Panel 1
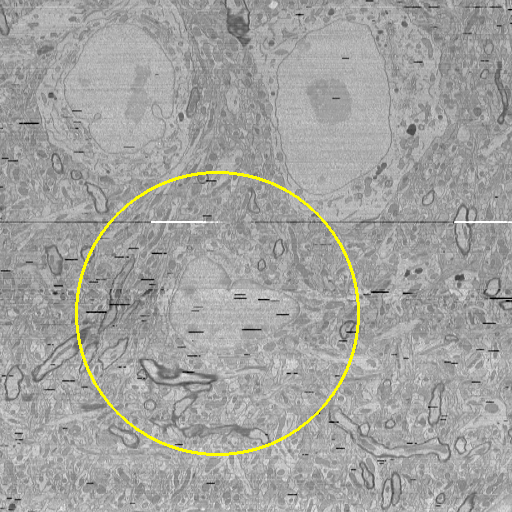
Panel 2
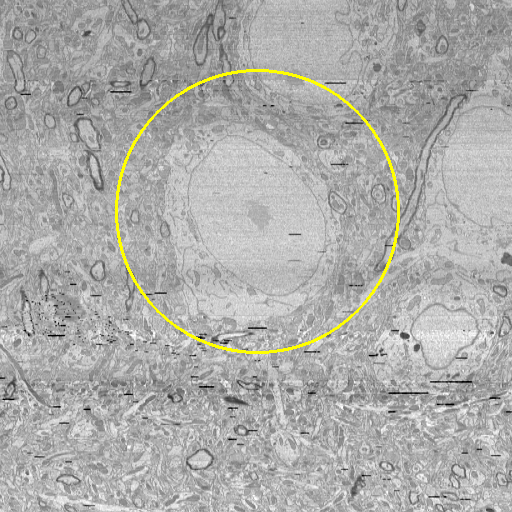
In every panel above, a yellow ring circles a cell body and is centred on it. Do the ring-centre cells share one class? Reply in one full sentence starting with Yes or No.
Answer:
No, the two cells at the ring centres in the panels belong to two classes.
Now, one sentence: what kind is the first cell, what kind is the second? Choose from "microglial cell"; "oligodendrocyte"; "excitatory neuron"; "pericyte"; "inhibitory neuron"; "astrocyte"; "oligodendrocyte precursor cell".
The first picture has an astrocyte at its ring centre, and the second has an excitatory neuron.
